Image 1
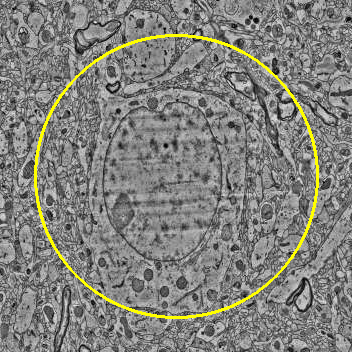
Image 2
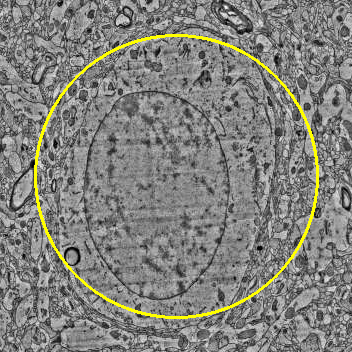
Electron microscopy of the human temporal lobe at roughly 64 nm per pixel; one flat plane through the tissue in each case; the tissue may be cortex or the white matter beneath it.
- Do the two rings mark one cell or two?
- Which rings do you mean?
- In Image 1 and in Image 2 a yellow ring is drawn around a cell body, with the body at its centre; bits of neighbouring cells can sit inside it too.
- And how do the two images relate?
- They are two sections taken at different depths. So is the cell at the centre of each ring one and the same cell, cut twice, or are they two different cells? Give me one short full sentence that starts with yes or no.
No, each ring in the micrograph marks a distinct cell.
